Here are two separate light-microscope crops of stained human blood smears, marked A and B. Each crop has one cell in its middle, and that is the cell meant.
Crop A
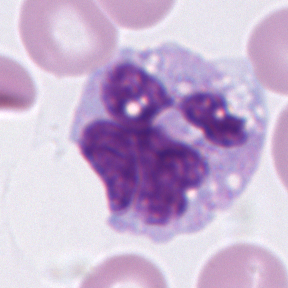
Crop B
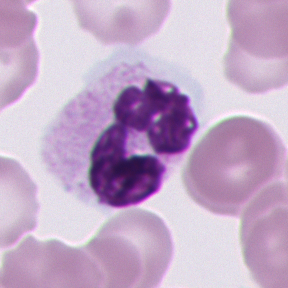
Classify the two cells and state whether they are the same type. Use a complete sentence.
No, crop A carries a monocyte at its centre, and crop B carries a segmented neutrophil.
